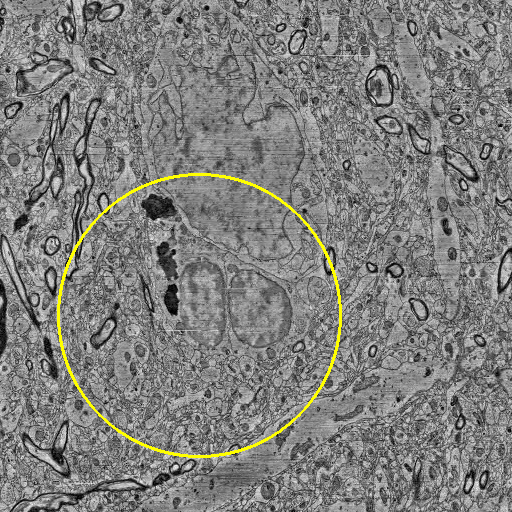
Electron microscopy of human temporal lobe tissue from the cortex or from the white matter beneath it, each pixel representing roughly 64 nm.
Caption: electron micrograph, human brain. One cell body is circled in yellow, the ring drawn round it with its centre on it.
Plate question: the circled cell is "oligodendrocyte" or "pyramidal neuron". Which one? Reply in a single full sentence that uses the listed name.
The yellow ring on the plate is centred on an oligodendrocyte, going by the listed names.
